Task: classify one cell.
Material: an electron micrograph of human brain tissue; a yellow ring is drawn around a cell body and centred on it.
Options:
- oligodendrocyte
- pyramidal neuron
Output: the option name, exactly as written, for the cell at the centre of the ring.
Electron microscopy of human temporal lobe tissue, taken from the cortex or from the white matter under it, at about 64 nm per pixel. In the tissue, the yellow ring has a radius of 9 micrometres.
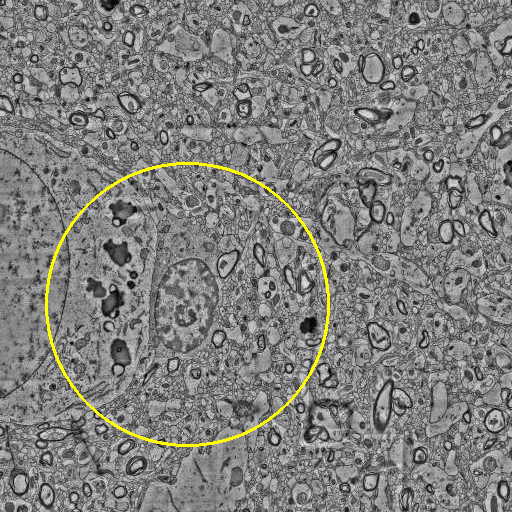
oligodendrocyte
